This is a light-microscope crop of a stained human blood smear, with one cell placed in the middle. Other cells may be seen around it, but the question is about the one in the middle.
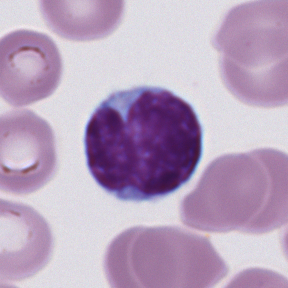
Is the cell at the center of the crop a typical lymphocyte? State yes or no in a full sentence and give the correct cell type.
Yes, the cell of interest in the middle is a typical lymphocyte.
